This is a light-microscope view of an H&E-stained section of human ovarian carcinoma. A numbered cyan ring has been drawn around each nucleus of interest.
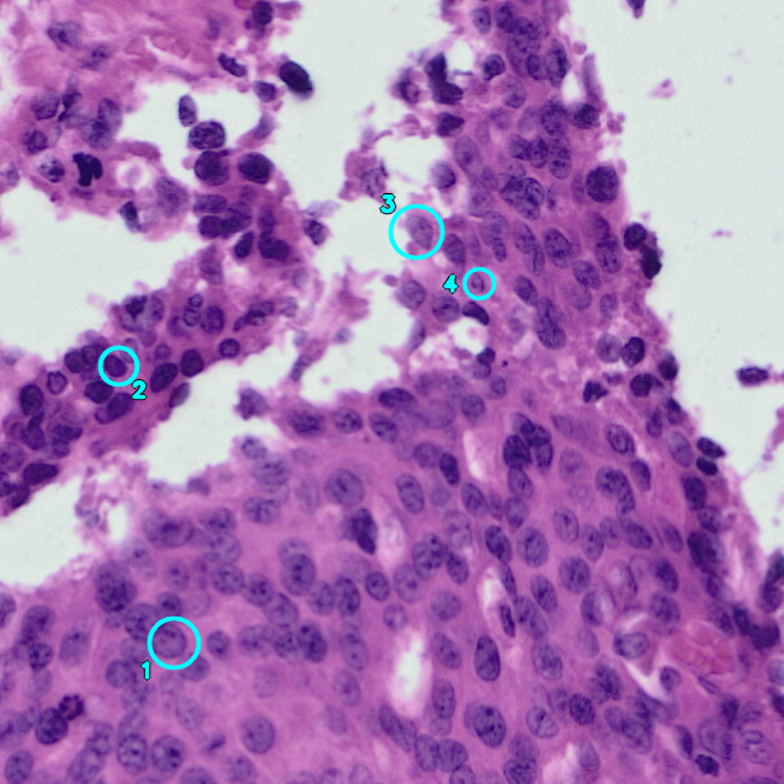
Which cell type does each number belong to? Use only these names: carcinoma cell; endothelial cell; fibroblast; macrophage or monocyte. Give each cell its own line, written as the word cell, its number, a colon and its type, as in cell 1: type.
cell 1: carcinoma cell
cell 2: carcinoma cell
cell 3: carcinoma cell
cell 4: macrophage or monocyte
